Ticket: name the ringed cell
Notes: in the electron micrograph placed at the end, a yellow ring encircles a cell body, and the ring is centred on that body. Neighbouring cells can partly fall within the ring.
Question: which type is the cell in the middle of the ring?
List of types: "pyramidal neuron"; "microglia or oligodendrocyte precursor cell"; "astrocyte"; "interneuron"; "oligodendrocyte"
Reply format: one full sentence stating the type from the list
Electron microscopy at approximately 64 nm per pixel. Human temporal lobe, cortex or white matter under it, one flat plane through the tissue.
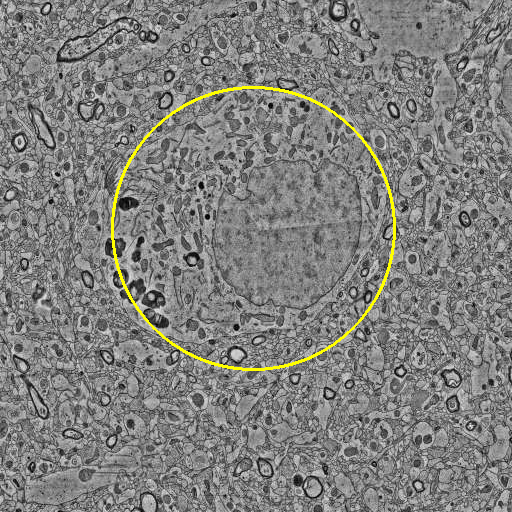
The cell sitting at the centre of the yellow ring is an interneuron.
